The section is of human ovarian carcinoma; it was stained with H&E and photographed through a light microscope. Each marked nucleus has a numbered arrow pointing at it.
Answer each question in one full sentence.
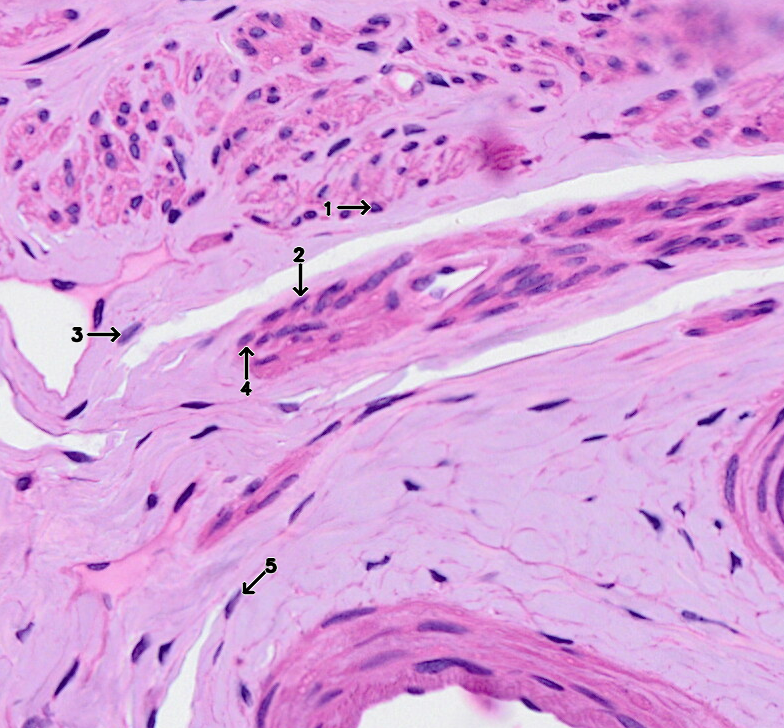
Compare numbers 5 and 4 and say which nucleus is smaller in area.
Number 4 is smaller, since number 5 takes up about 1.5 times as much area.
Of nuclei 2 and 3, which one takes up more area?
The larger nucleus is 3, at roughly 2.5 times the area of 2.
